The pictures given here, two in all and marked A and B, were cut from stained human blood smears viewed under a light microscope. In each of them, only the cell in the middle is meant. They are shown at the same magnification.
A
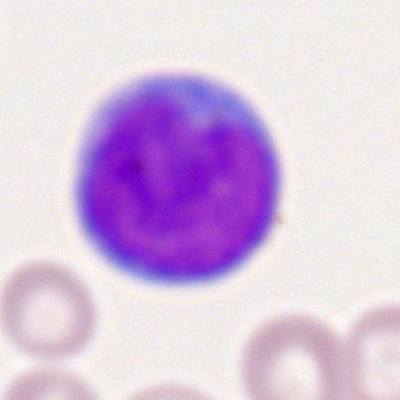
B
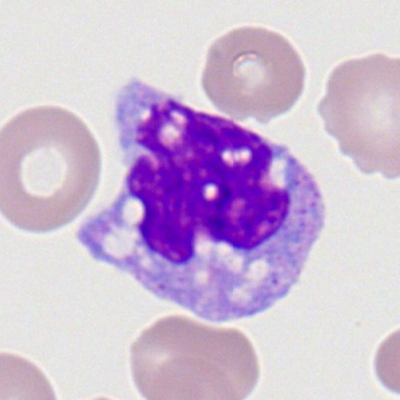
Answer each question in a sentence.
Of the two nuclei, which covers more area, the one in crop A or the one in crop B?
It is the nucleus in crop A, about 1.5 times as large in area as the one in crop B.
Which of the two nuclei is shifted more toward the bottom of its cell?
In crop A the nucleus is shifted more toward the bottom.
